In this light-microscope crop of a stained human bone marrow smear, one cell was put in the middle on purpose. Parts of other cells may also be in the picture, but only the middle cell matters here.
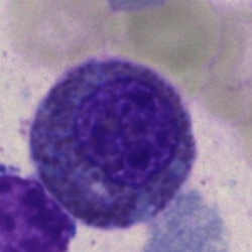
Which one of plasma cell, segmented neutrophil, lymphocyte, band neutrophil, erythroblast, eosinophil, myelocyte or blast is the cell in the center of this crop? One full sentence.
The center cell of this crop is an eosinophil.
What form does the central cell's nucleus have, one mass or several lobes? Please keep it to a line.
The nuclear material is gathered into one compact round, oval or kidney-shaped mass.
